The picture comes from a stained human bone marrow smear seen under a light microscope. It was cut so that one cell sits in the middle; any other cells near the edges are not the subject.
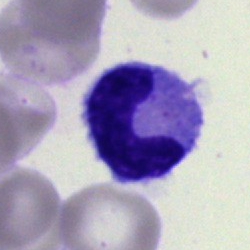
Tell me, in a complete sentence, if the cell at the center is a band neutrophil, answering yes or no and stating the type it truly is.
Yes, the centrally placed cell is a band neutrophil.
